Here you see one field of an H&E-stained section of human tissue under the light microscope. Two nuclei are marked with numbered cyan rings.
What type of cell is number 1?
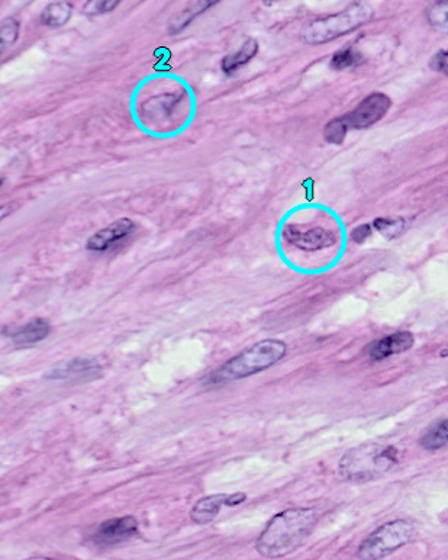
macrophage or monocyte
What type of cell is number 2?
fibroblast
